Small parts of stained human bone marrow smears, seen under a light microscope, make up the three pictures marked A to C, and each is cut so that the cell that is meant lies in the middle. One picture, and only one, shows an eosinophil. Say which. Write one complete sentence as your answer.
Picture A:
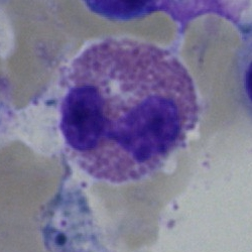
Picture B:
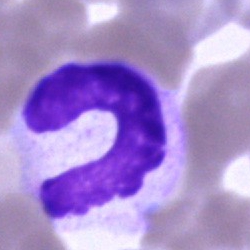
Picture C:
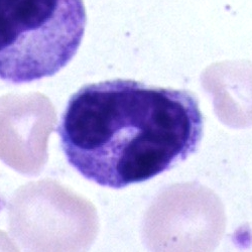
The cell in picture A is the eosinophil.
